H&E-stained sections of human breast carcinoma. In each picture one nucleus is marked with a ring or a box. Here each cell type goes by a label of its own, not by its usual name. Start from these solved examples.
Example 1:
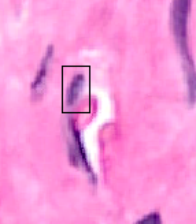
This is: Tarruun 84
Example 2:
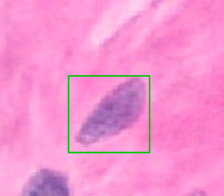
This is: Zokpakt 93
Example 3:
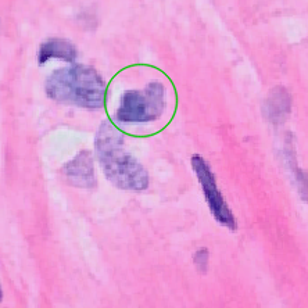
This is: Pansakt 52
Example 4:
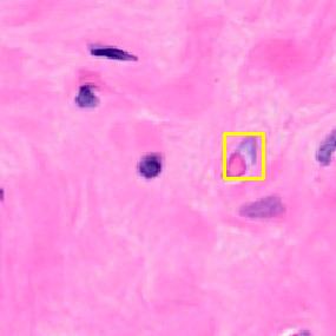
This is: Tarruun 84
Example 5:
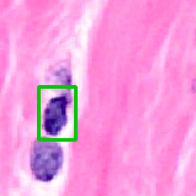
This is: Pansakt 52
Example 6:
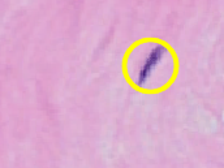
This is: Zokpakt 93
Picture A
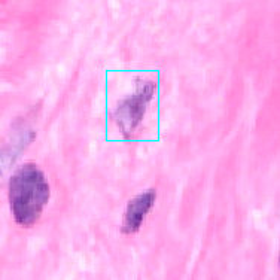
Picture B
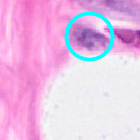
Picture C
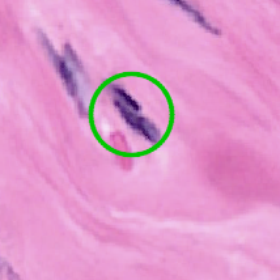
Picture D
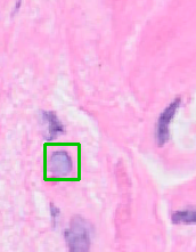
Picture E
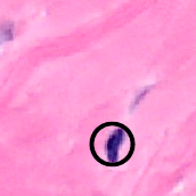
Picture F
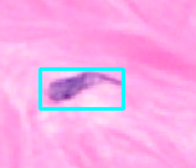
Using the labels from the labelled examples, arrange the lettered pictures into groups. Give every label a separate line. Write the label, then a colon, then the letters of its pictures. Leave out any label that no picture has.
Tarruun 84: B, C, D
Zokpakt 93: A, F
Pansakt 52: E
